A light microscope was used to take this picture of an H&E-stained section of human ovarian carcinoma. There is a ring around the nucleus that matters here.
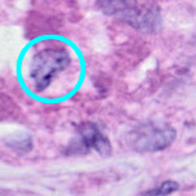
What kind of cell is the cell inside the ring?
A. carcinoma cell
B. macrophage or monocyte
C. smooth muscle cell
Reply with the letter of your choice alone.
B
